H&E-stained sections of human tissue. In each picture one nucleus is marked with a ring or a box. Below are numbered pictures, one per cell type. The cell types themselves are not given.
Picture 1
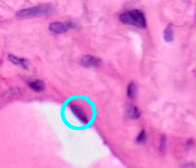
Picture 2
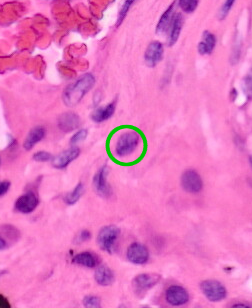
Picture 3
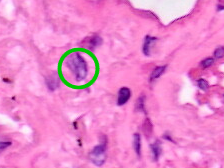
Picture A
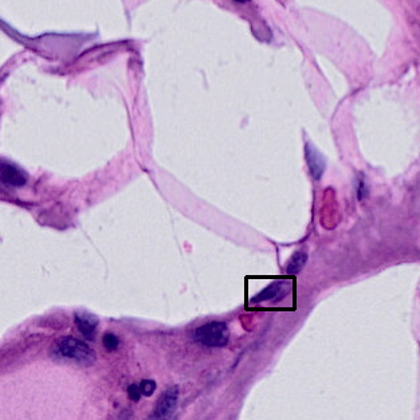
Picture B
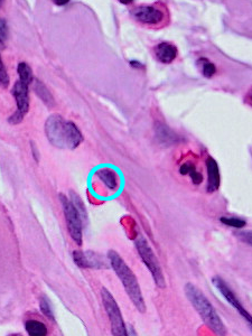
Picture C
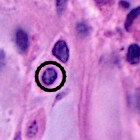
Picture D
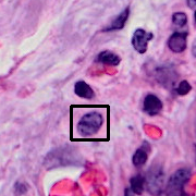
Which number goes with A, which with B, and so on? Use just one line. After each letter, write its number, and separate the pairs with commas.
A 1, B 1, C 2, D 2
